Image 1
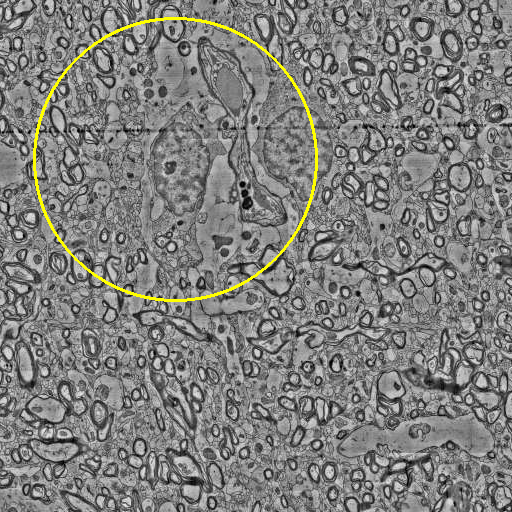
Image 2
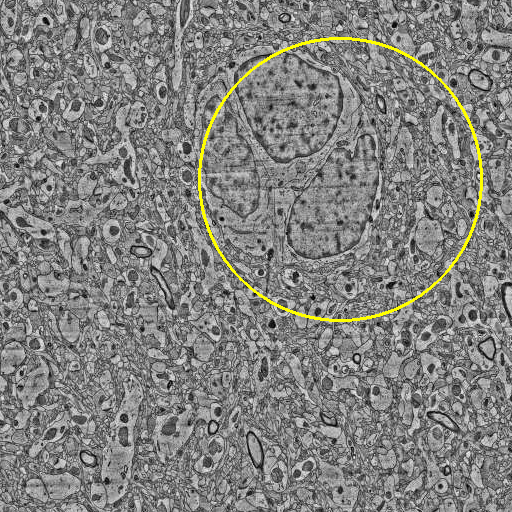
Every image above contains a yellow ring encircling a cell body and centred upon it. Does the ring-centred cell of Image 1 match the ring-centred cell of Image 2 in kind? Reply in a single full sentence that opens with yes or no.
No, the cell at the ring's centre in Image 1 is a separate kind from that in Image 2.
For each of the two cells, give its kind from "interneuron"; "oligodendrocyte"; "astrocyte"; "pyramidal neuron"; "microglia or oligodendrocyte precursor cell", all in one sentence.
The first picture has an oligodendrocyte in its ring, the second has a microglial cell or oligodendrocyte precursor cell.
